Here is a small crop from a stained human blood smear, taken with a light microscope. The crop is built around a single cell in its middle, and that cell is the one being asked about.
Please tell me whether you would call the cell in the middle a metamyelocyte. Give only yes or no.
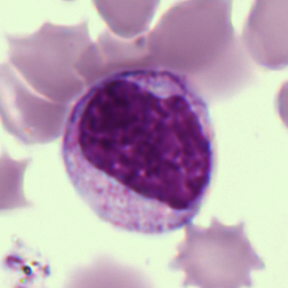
yes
